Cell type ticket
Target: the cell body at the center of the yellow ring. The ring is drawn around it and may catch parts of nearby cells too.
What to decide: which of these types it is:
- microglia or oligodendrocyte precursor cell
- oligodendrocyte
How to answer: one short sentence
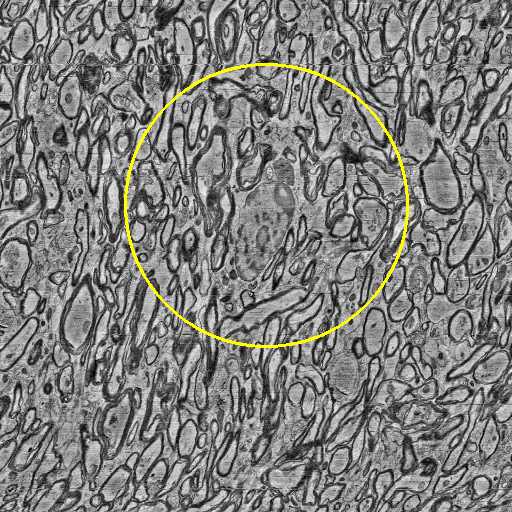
The cell at the center of the ring is a microglial cell or oligodendrocyte precursor cell.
